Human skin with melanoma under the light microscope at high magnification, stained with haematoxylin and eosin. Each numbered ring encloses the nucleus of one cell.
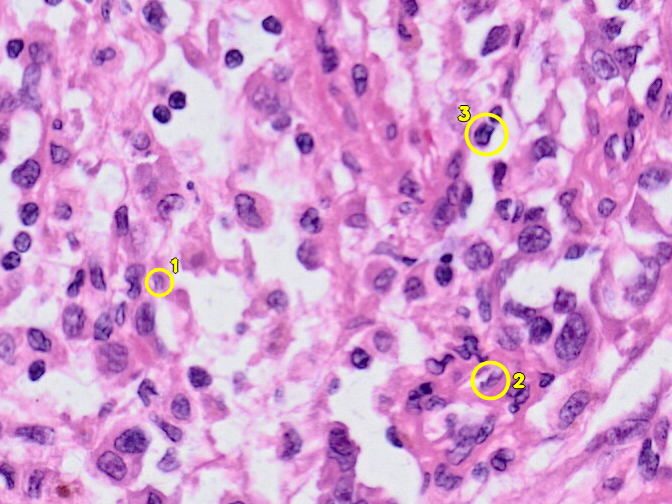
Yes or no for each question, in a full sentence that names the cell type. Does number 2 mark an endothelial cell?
Yes, it is an endothelial cell that number 2 identifies.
